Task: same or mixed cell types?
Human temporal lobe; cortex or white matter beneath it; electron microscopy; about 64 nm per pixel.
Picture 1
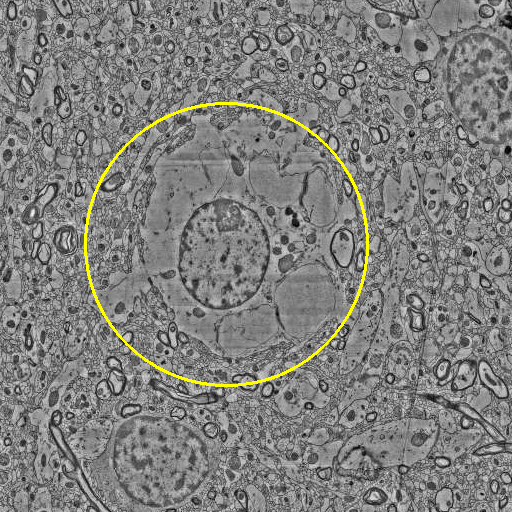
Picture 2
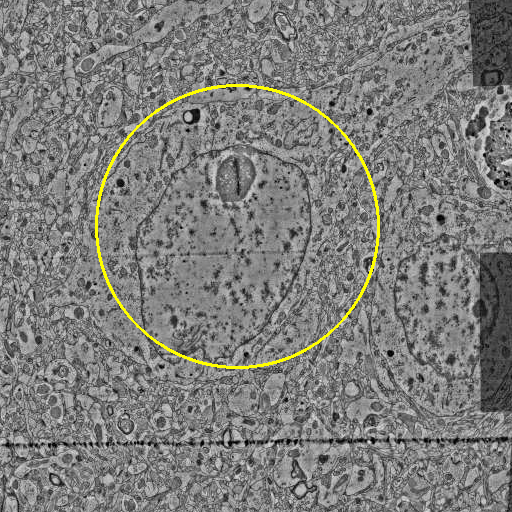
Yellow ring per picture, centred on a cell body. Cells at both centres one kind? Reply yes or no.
no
